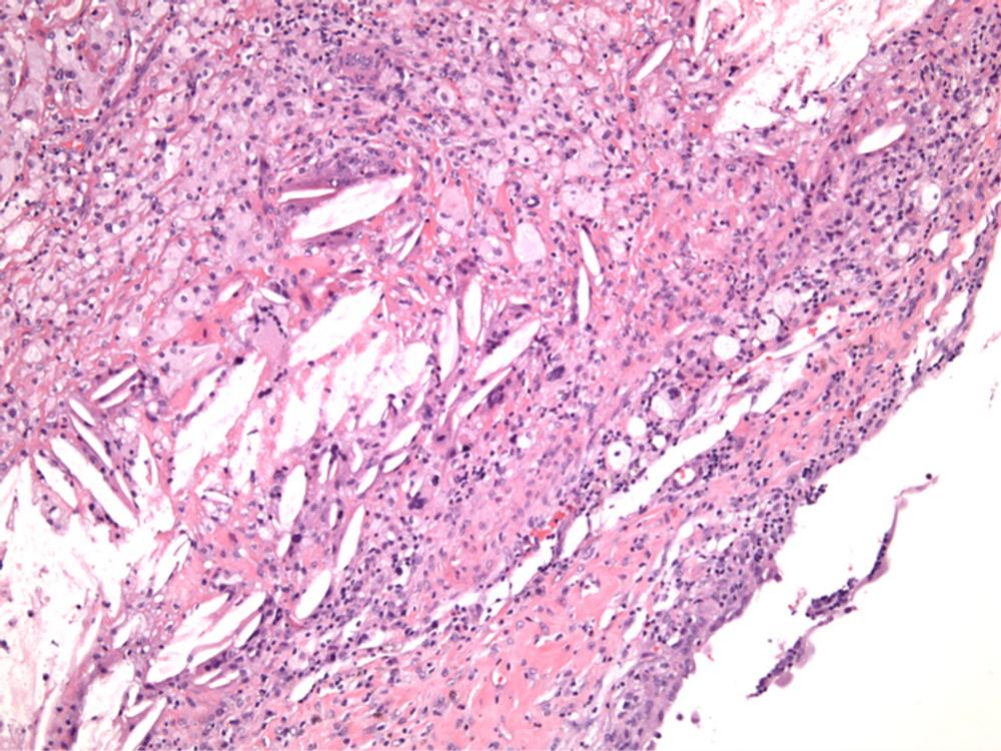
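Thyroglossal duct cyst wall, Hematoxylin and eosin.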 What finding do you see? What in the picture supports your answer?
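The free surface at the lower right is bordered by fibrous pink tissue with inflammatory cells. No continuous epithelial lining covers the surface.
Denuded epithelium.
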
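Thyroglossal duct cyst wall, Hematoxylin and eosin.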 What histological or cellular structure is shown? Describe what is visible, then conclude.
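Cholesterol clefts. Many empty, elongated needle- or spindle-shaped spaces with pointed ends lie in the tissue. The spaces are clear and unstained, often in parallel or radiating groups.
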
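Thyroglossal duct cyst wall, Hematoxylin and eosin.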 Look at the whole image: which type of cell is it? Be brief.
foamy macrophages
